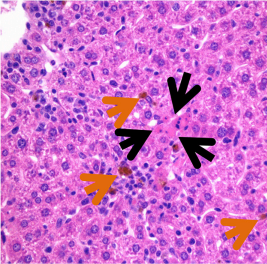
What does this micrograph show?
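Liver parenchyma made of polygonal hepatocytes with round central nuclei and abundant pink cytoplasm, arranged in cords. Near the centre a small group of dark nuclei surrounds a bright pink body, and scattered small brown-orange deposits lie between the hepatocytes.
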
